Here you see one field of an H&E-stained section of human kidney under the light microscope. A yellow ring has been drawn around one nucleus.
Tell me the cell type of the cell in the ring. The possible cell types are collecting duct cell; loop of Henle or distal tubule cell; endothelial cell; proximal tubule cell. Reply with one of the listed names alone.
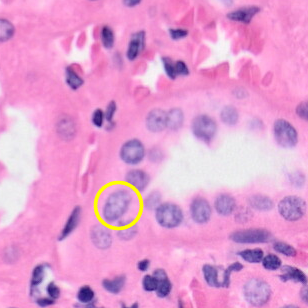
collecting duct cell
